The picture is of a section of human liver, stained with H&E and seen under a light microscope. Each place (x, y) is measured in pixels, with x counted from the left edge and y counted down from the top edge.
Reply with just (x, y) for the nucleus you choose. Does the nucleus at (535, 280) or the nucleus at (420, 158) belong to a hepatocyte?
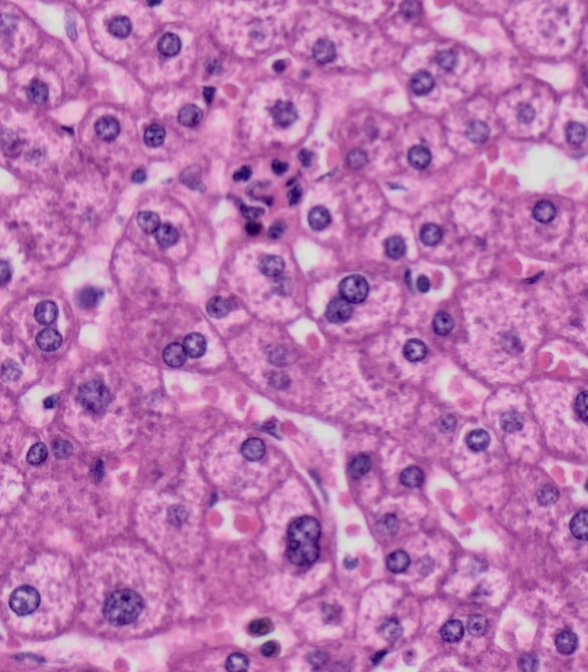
(420, 158)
